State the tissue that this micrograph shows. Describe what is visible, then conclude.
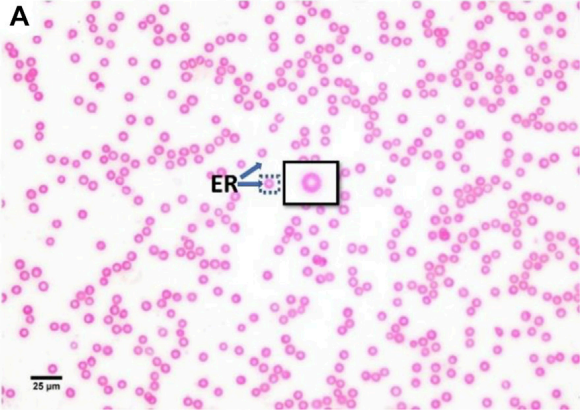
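Many small, separate, round pink cells spread in a thin single layer. The cells have no nuclei. Most cells have a paler centre. The answer: Blood.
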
